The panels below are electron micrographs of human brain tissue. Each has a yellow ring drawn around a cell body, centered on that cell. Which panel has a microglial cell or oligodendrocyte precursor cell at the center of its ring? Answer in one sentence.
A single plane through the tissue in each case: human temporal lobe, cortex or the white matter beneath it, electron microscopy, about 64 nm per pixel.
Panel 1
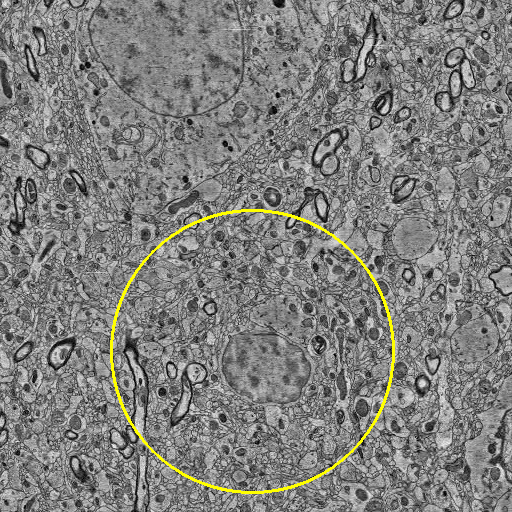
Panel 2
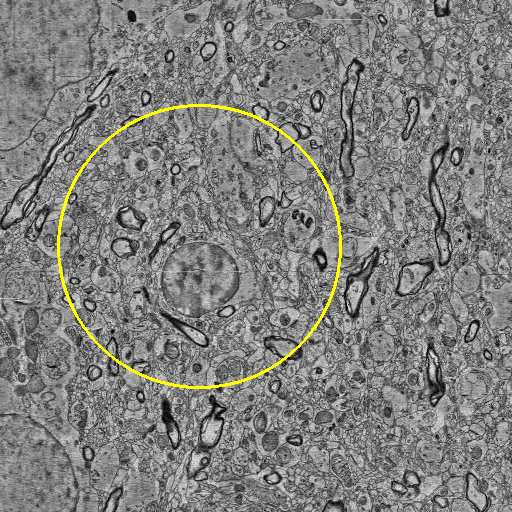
Panel 2 has it at the center of its ring.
